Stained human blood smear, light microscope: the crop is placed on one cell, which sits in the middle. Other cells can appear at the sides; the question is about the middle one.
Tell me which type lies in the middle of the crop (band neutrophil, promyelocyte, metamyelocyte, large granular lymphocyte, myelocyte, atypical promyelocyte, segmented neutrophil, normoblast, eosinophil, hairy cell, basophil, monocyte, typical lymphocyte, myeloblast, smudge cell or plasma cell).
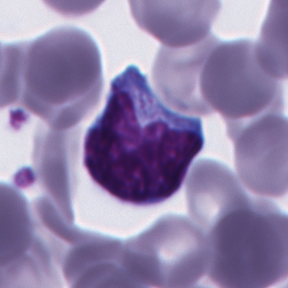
typical lymphocyte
